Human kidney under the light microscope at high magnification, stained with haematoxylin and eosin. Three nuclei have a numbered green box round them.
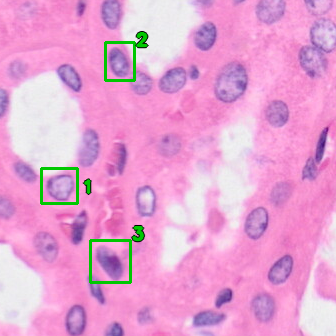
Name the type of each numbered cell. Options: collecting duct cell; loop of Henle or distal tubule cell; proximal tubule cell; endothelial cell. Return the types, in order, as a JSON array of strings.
["loop of Henle or distal tubule cell", "loop of Henle or distal tubule cell", "endothelial cell"]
